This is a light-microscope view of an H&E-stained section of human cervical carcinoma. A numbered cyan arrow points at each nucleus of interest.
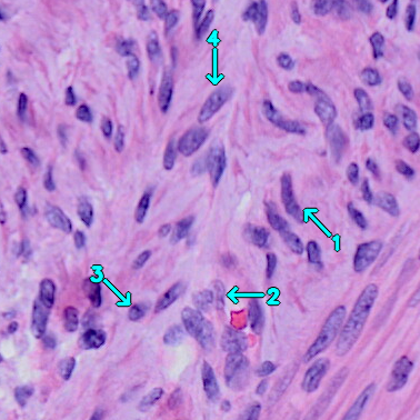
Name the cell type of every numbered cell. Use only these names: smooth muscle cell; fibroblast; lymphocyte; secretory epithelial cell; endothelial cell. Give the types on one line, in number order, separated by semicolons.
smooth muscle cell; endothelial cell; smooth muscle cell; smooth muscle cell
